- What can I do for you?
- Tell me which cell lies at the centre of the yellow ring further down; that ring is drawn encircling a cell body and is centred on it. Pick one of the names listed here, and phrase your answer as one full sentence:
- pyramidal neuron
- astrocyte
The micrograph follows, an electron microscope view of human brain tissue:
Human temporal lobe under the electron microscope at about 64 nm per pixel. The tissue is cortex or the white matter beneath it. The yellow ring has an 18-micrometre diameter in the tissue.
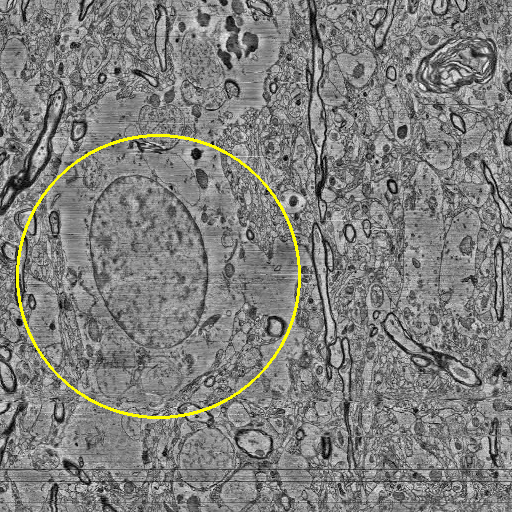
The cell whose body lies at the centre of the yellow ring is an astrocyte.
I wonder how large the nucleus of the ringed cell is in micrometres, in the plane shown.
The nucleus is approximately 12 micrometres long but only about 7 wide, clearly longer than it is wide in this plane.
